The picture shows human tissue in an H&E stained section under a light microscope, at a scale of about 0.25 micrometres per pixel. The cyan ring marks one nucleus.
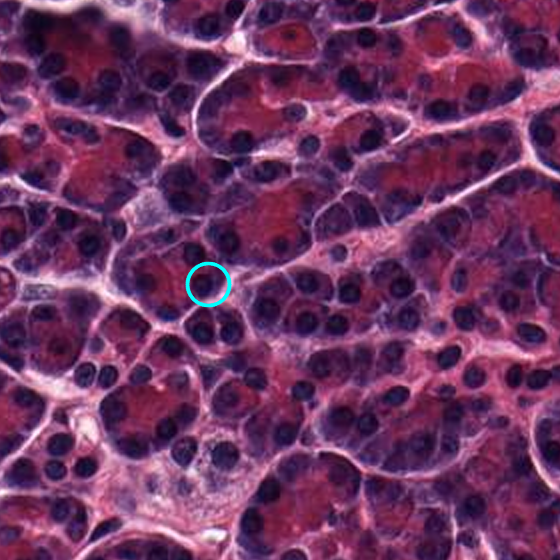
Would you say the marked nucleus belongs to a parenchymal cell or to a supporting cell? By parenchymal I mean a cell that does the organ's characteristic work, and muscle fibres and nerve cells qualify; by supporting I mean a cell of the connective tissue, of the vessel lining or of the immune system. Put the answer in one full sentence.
In this section the marked nucleus belongs to a parenchymal cell, namely a pancreatic acinar cell.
